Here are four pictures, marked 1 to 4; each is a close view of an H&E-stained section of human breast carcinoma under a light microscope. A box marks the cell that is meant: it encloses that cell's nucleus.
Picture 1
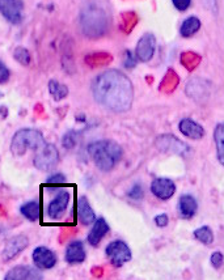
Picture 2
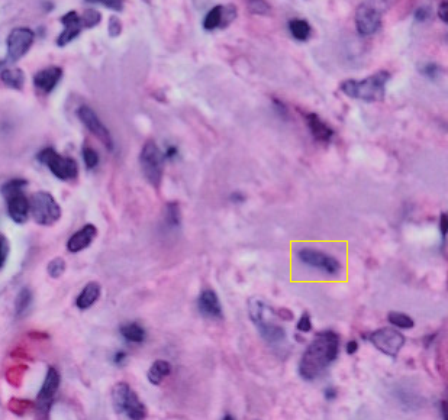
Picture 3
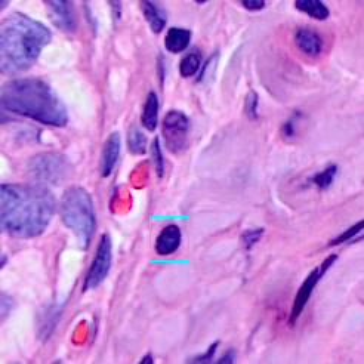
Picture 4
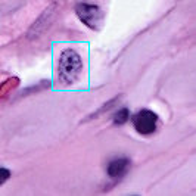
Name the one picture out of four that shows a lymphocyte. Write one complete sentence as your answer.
Picture 1 shows the lymphocyte.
